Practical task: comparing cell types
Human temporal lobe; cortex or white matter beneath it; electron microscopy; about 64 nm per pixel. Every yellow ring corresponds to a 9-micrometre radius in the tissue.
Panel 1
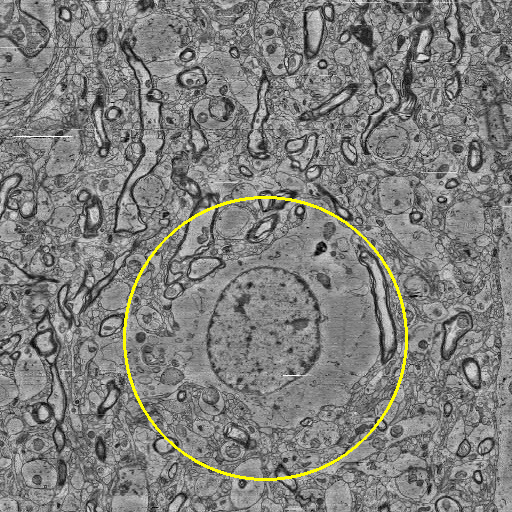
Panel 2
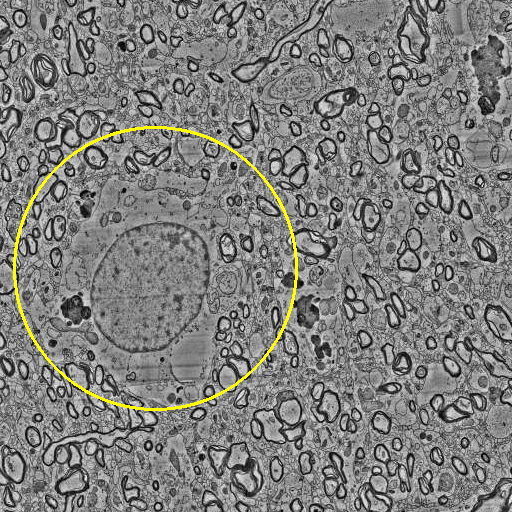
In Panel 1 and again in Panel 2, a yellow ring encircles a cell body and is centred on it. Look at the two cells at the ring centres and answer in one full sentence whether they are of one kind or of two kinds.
The two cells sitting at the ring centres of Panels 1 and 2 are of one kind.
